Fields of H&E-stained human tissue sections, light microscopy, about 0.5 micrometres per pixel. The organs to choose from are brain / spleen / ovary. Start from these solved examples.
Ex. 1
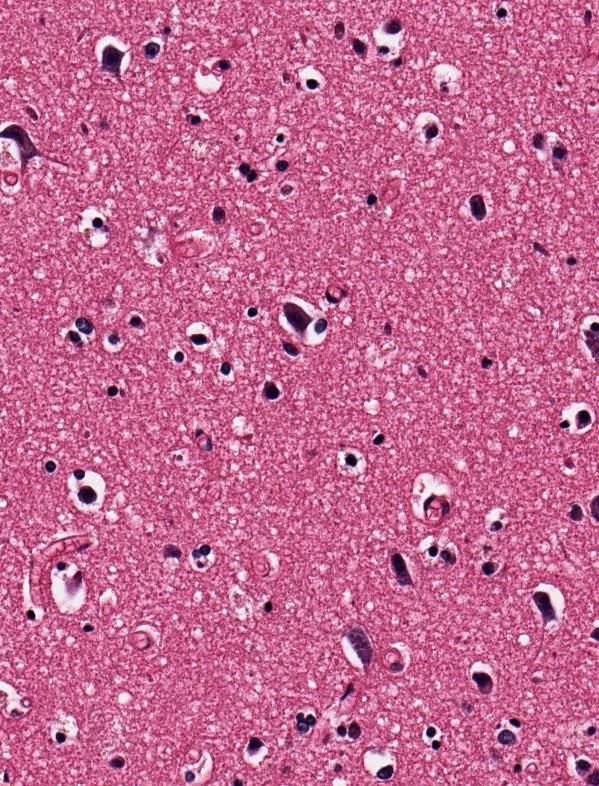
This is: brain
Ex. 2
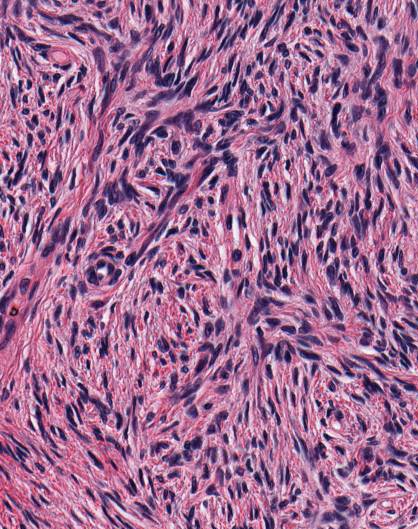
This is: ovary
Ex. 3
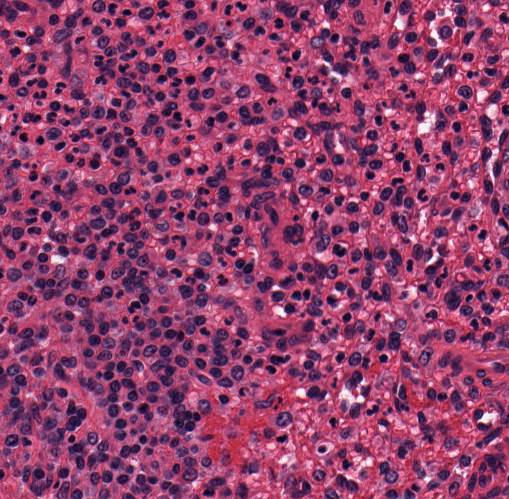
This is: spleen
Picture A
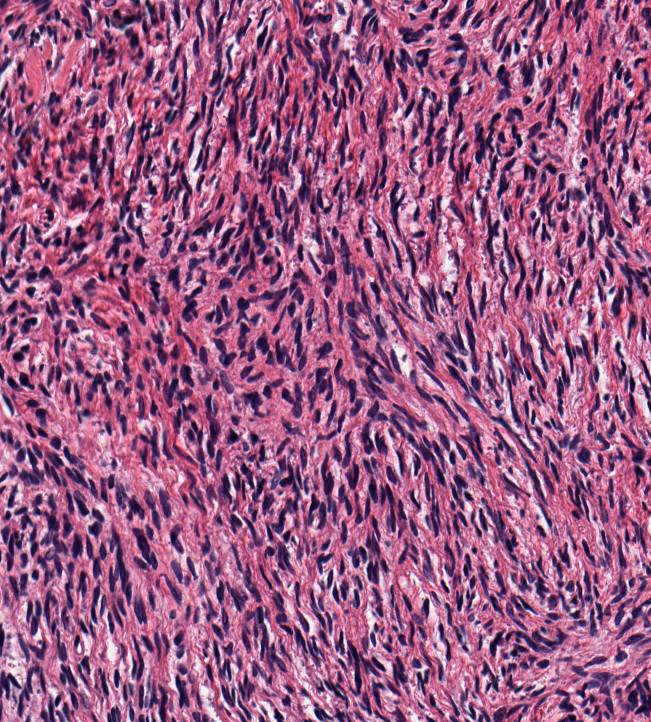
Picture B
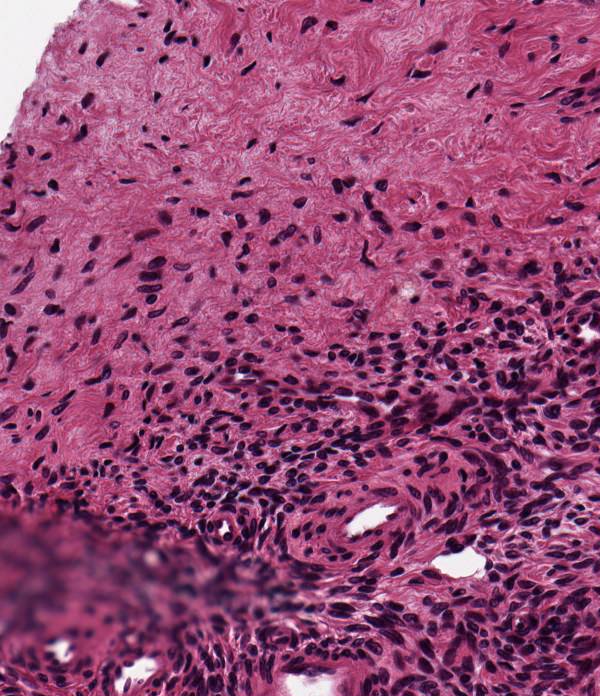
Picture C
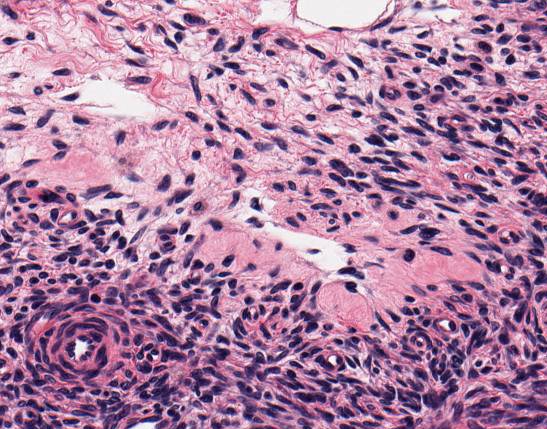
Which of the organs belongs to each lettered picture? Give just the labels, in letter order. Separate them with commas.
ovary, ovary, ovary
